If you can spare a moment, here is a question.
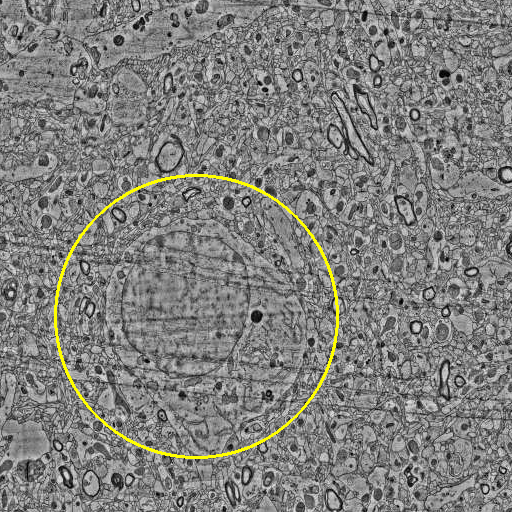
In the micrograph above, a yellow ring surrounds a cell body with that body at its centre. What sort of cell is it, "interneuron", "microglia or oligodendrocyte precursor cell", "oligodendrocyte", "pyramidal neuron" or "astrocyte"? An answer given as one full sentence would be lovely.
Centred inside the yellow ring, the cell body shown belongs to an interneuron in this micrograph.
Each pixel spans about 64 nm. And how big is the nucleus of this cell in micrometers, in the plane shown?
In this plane, roughly 9 micrometres across.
